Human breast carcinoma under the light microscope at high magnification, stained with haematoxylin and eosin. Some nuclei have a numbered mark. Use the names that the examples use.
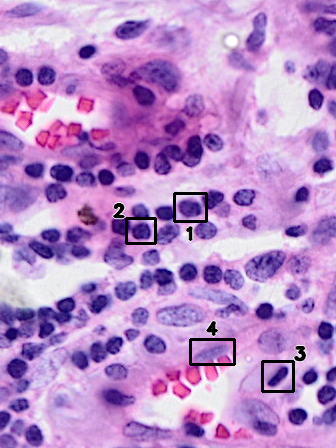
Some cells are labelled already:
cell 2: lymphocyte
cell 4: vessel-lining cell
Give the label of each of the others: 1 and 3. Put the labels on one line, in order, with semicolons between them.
lymphocyte; lymphocyte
